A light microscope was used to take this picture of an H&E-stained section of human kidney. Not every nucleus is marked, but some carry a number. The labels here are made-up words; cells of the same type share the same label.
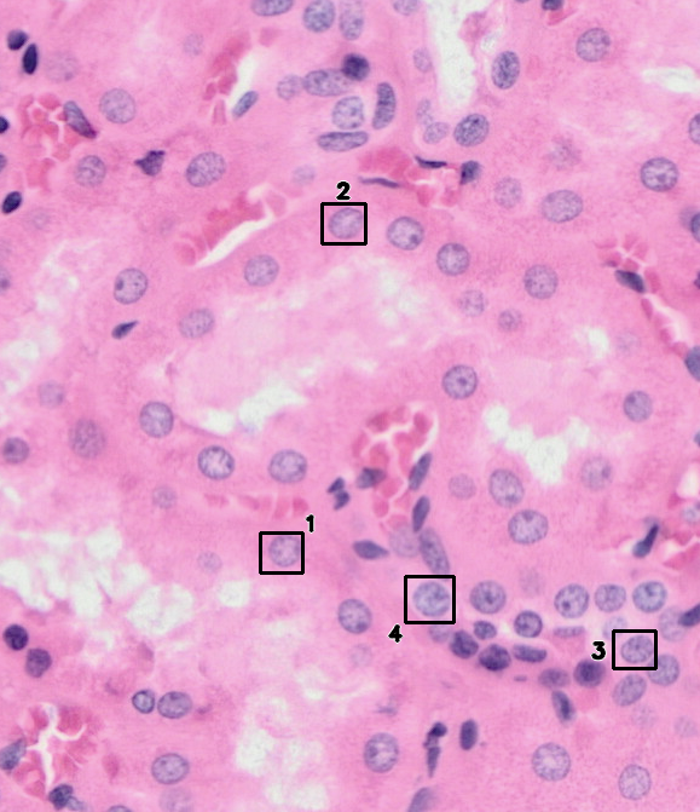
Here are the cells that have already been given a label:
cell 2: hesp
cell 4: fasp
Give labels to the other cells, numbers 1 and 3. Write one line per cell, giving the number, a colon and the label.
1: hesp
3: fasp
